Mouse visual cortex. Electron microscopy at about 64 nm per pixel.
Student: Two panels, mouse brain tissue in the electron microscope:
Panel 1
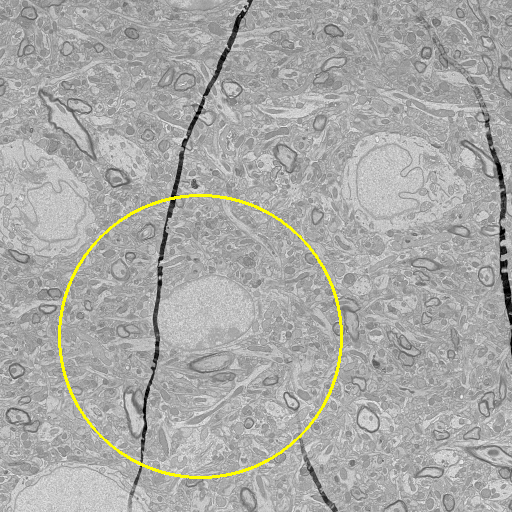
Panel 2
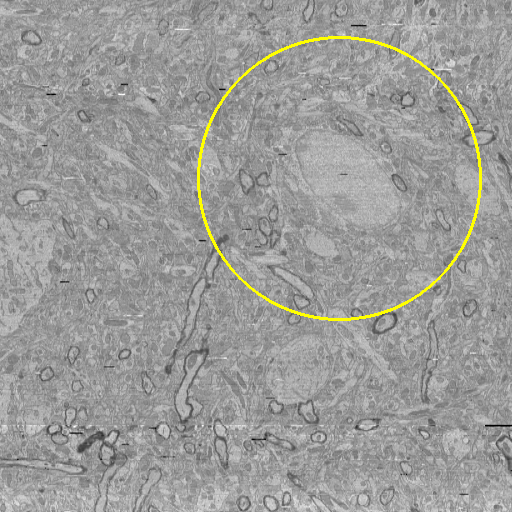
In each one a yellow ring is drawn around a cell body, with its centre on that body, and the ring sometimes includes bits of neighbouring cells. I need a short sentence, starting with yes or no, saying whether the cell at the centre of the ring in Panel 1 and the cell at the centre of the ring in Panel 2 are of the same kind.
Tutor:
Yes, they are the same kind of cell.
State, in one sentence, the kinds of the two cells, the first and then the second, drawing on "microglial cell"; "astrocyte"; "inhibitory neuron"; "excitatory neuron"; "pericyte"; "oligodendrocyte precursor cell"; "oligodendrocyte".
Each of the ringed cells, first and second, is an astrocyte.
